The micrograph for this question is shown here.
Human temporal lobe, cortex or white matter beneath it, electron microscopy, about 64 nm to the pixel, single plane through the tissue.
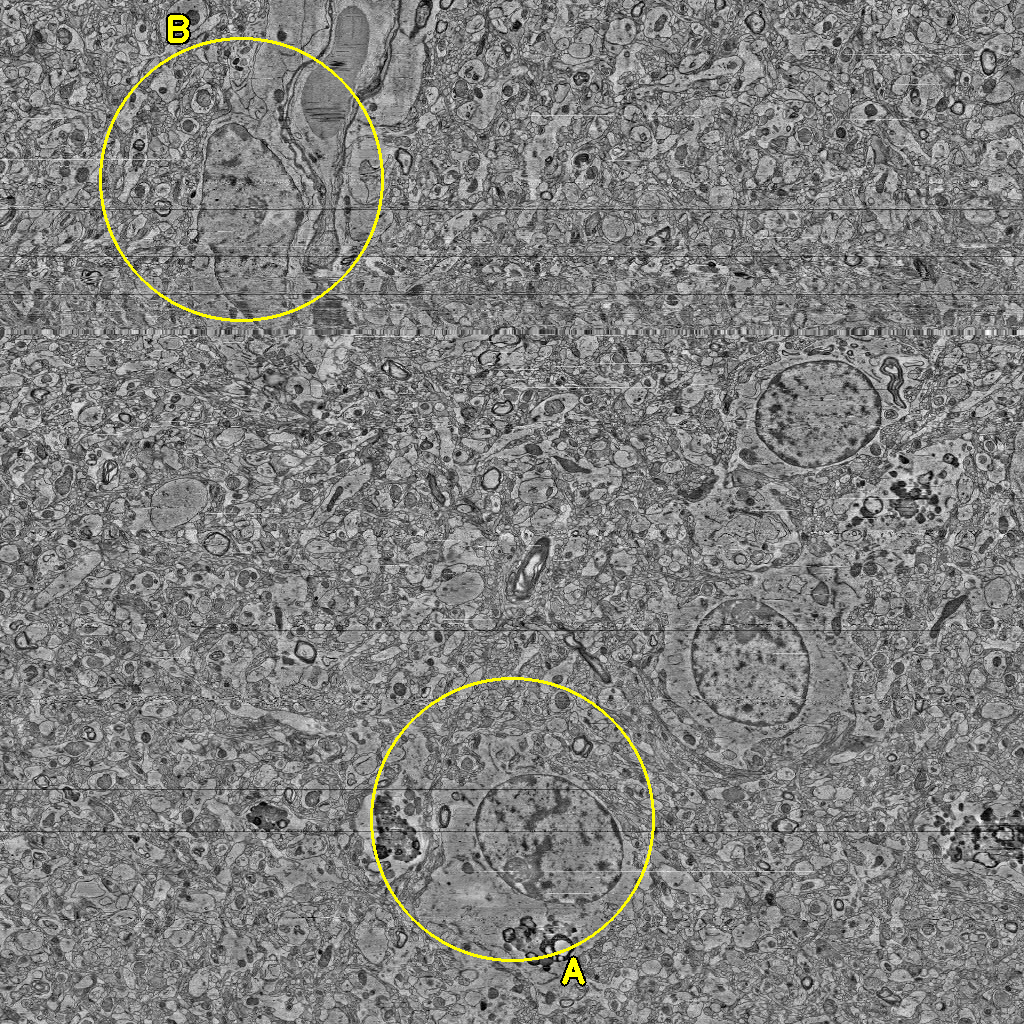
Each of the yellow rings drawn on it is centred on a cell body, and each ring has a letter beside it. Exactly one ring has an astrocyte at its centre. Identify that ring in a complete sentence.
The ring centred on it is ring A.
